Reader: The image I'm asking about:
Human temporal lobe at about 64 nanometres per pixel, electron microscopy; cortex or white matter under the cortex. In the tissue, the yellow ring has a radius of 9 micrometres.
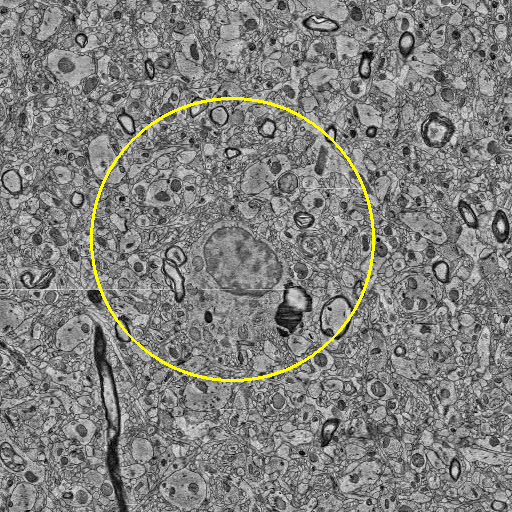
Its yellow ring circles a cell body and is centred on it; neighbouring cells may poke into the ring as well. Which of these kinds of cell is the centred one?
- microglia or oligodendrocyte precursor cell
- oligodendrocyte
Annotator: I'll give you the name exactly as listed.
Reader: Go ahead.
oligodendrocyte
